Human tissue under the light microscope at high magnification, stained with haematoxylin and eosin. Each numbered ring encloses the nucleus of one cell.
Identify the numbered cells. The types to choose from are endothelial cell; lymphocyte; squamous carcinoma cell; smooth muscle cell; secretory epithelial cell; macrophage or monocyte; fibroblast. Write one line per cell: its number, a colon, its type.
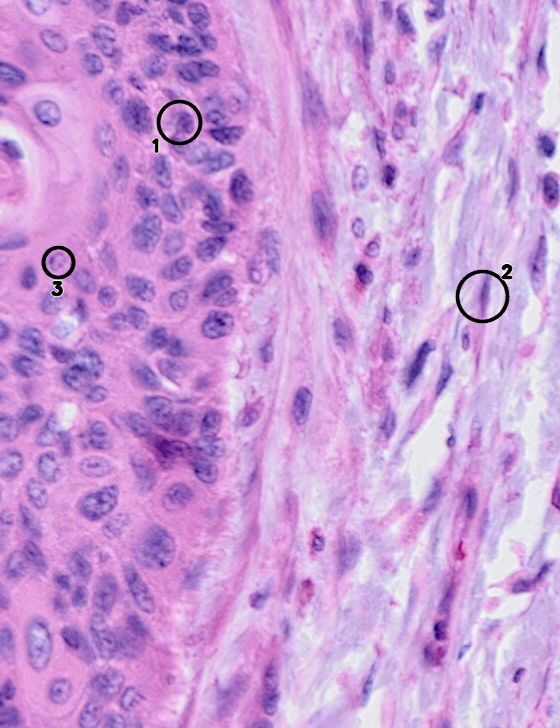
1: squamous carcinoma cell
2: fibroblast
3: squamous carcinoma cell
